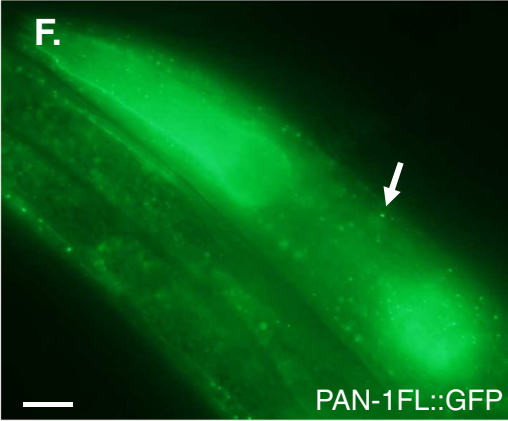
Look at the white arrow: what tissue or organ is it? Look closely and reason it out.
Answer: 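The arrow points to a small bright dot in the thin outer layer of the body, outside the central organ. Many similar small dots are scattered over the outer body layer.
Hence: hypodermis.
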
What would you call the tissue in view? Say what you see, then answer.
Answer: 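Pharynx. A bright tubular organ with two bulb-like swellings lies in the head of the worm. The organ runs along the middle of the body.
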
